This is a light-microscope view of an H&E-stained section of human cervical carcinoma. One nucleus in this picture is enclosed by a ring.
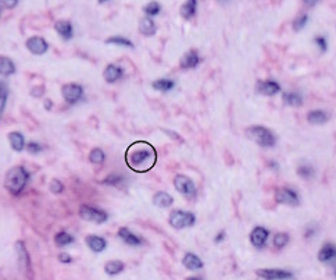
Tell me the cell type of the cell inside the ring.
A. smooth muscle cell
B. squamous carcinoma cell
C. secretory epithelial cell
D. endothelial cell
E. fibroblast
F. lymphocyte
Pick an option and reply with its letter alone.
A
